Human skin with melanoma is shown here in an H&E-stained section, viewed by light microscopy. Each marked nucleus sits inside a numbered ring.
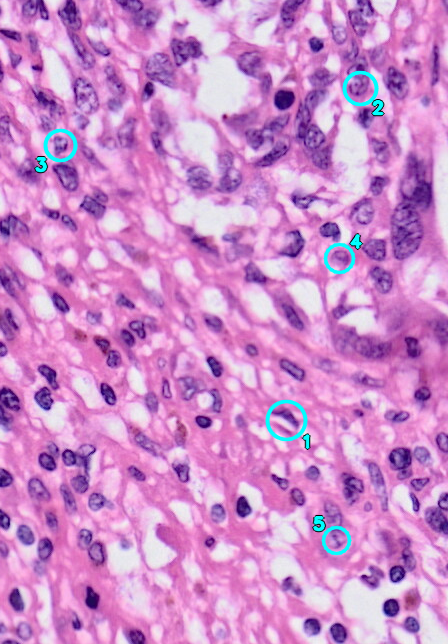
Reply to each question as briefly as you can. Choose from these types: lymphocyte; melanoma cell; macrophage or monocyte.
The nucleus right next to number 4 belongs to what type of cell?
lymphocyte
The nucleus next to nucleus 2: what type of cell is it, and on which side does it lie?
a melanoma cell; above nucleus 2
